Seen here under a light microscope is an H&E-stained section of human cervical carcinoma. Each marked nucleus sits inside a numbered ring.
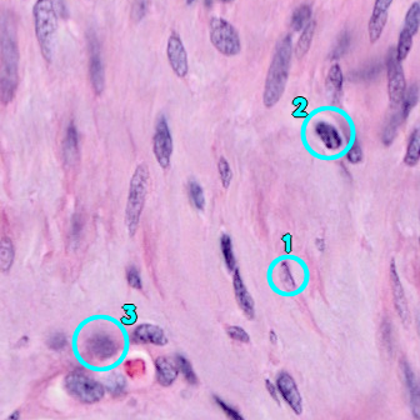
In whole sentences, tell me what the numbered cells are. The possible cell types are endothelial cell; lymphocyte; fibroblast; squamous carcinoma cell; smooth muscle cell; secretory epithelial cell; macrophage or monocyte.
Cell 1 is a smooth muscle cell, cell 2 is a lymphocyte and cell 3 is an endothelial cell.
